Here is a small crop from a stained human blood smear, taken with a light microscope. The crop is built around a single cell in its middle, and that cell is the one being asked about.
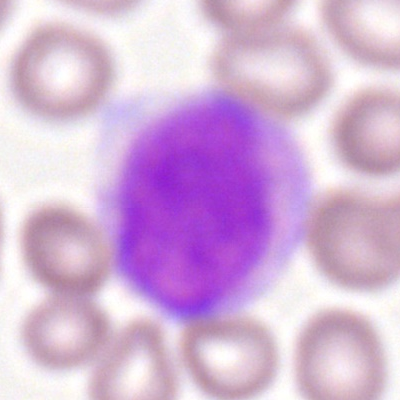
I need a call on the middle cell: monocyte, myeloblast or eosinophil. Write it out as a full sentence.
The cell at the central position in this crop is a monocyte.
